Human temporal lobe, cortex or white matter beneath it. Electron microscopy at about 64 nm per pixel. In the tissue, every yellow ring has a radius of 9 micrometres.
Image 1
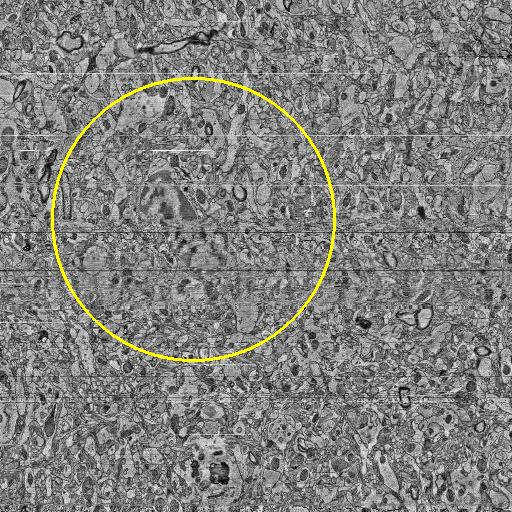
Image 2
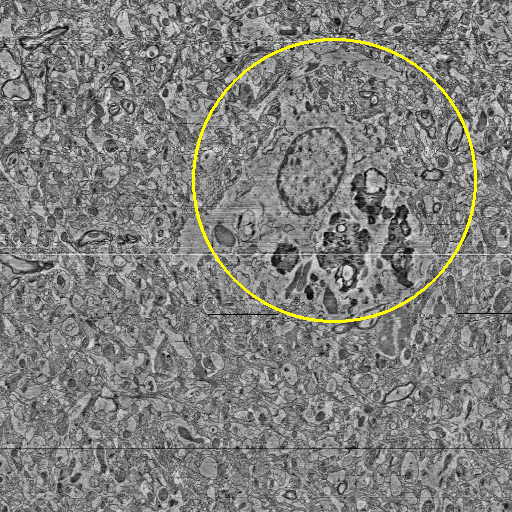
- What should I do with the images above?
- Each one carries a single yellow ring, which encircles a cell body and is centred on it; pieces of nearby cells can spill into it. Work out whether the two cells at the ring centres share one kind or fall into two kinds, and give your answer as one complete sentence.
The ring-centre cells of Image 1 and Image 2 fall into two kinds.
